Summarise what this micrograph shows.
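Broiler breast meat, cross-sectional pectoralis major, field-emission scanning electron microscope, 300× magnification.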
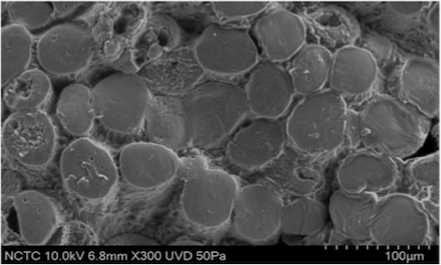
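Cut across, these skeletal muscle fibers look unlike a tightly packed polygonal mosaic. Most profiles are rounded to oval, and many look large against the 100 micrometre scale bar. Their cut faces are smooth and show little granular speckling. Wider spaces separate the fibers, and these spaces are filled with irregular fibrous, web-like material. Some fibers show cracks or pits on their surface.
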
